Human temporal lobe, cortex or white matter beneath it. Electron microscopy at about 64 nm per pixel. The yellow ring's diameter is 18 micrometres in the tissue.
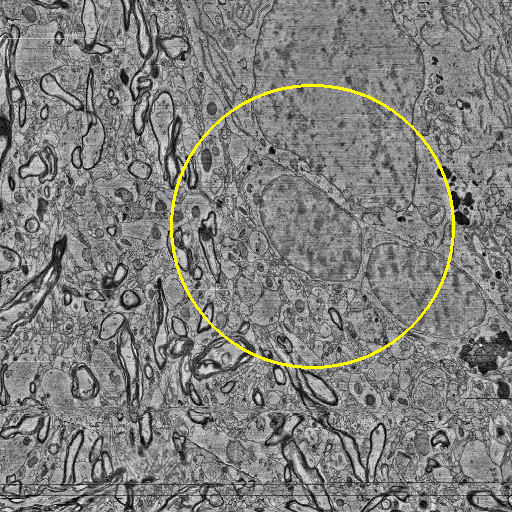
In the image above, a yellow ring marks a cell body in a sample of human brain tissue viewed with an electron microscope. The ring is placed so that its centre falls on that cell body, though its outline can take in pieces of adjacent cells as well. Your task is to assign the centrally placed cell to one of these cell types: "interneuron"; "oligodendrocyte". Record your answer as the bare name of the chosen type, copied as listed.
oligodendrocyte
